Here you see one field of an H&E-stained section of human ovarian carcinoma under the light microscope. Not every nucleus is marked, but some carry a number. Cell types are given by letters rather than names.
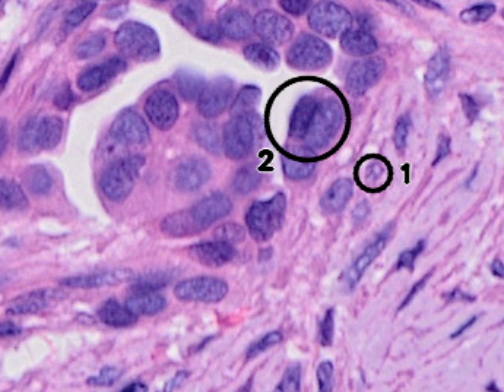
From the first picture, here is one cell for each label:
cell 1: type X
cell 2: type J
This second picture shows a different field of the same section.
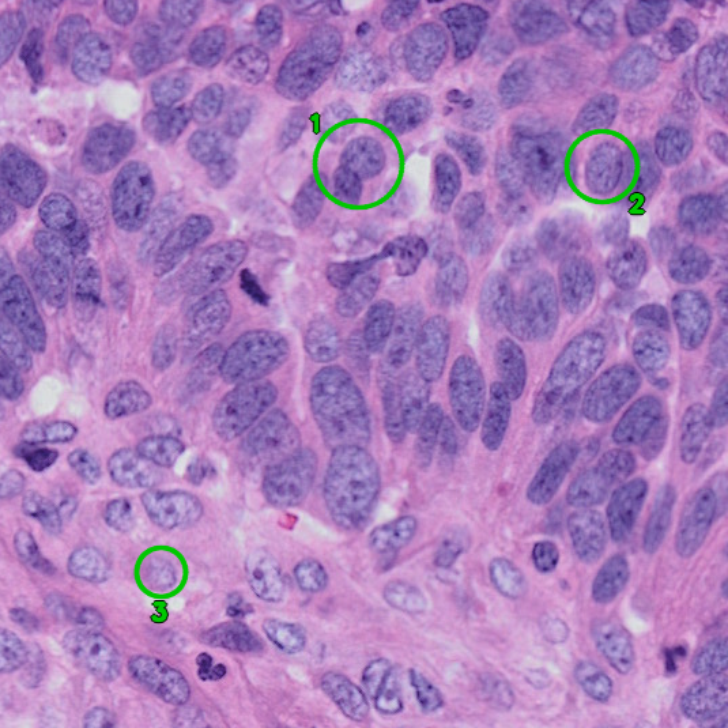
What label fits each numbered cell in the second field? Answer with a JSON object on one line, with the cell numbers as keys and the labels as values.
{"1": "type J", "2": "type J", "3": "type X"}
